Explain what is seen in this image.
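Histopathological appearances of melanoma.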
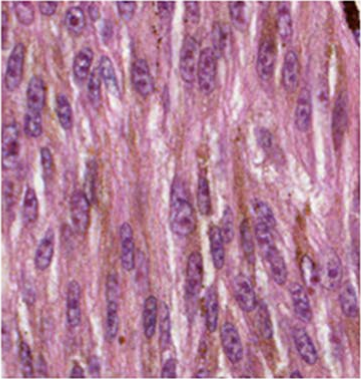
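This is a spindle cell tumour in which elongated, spindle-shaped cells run in parallel streams across the field. Their nuclei are oval to elongated, purple, and lined up along the same axis as the cells. The cytoplasm is pink and fibrillar, and fine brownish granules lie scattered between the cells.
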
